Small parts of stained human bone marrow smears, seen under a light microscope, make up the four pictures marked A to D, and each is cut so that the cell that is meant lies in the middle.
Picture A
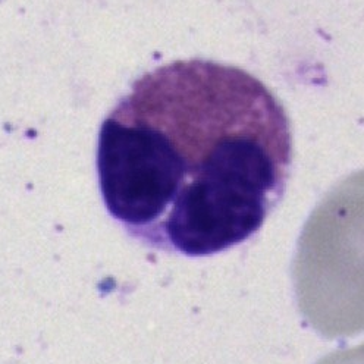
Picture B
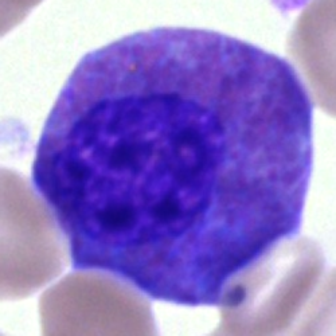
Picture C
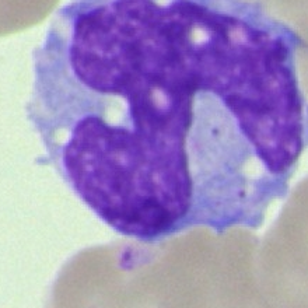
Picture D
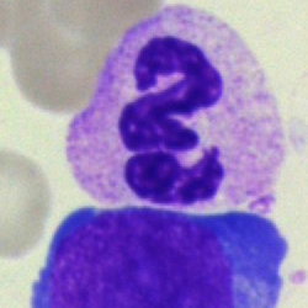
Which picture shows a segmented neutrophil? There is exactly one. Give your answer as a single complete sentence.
It is picture D that shows the segmented neutrophil.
